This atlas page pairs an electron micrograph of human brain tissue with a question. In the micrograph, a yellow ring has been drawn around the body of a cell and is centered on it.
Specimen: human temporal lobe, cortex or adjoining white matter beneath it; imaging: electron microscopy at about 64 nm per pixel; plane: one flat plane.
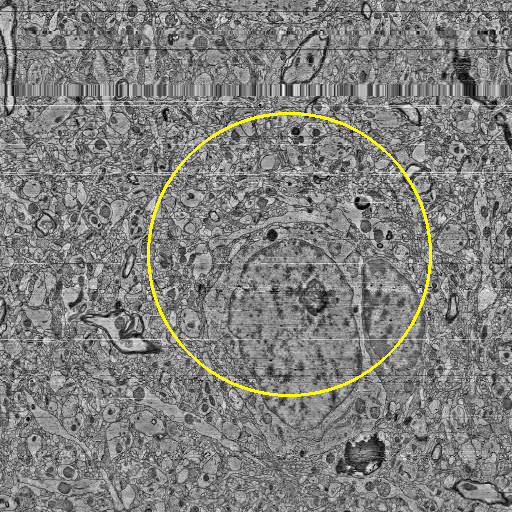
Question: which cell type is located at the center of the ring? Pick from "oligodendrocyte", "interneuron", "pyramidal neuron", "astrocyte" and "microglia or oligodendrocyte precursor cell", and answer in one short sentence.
Located at the center of the ring is an interneuron.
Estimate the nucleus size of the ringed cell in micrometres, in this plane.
In this plane, approximately 13 by 8 micrometers, and clearly longer than it is wide.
